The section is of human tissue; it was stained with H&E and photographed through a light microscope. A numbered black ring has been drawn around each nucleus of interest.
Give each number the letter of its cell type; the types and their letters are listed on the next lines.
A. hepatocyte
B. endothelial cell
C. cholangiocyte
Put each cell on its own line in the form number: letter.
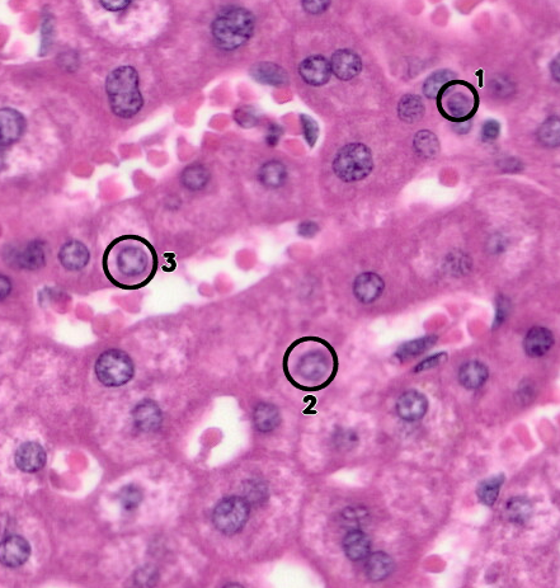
1: C
2: A
3: A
